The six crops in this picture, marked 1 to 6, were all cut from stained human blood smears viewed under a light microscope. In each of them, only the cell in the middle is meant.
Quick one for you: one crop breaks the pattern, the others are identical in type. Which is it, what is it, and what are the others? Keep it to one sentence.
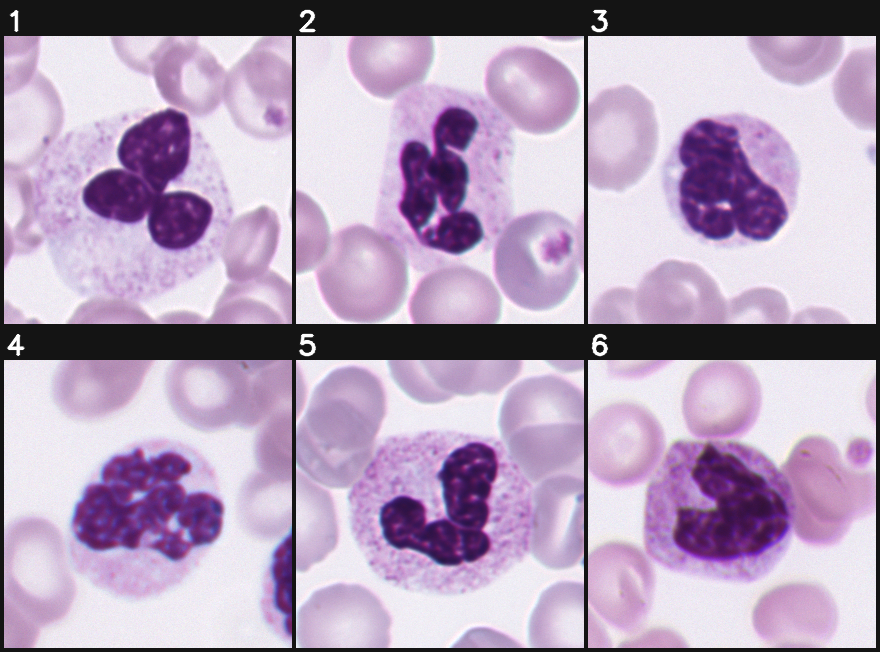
Crop 6 is a band neutrophil, unlike the other crops, which all show segmented neutrophils.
